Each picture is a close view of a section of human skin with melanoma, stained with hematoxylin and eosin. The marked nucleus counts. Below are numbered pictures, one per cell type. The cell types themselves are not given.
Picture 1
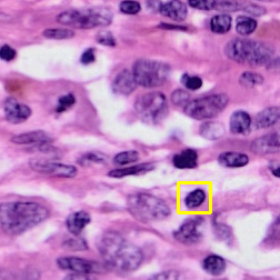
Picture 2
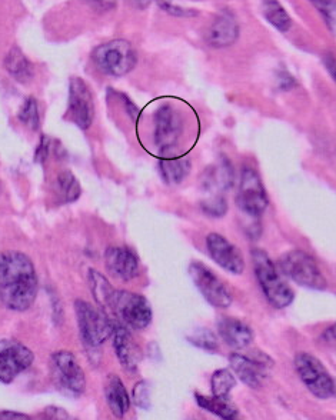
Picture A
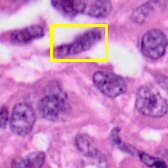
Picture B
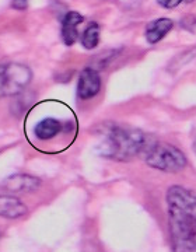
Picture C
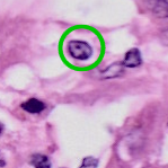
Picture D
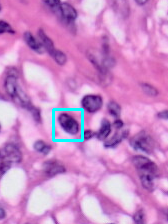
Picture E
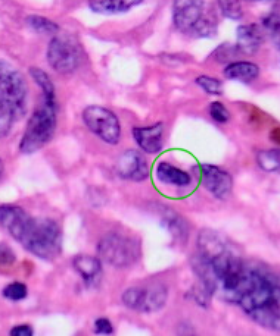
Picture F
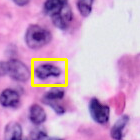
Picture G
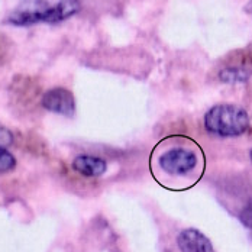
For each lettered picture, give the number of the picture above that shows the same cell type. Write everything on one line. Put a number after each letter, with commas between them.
A 2, B 1, C 1, D 1, E 1, F 1, G 1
